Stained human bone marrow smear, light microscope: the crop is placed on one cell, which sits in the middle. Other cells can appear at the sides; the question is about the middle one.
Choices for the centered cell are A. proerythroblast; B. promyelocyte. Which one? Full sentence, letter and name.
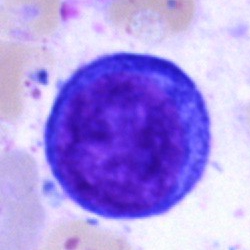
The middle of the crop holds a proerythroblast, which points to option A.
